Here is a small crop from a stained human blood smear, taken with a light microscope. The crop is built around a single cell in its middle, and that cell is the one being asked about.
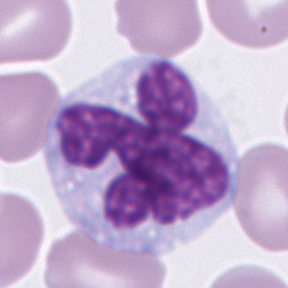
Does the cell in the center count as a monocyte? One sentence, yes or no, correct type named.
Yes, the cell in the middle is a monocyte.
